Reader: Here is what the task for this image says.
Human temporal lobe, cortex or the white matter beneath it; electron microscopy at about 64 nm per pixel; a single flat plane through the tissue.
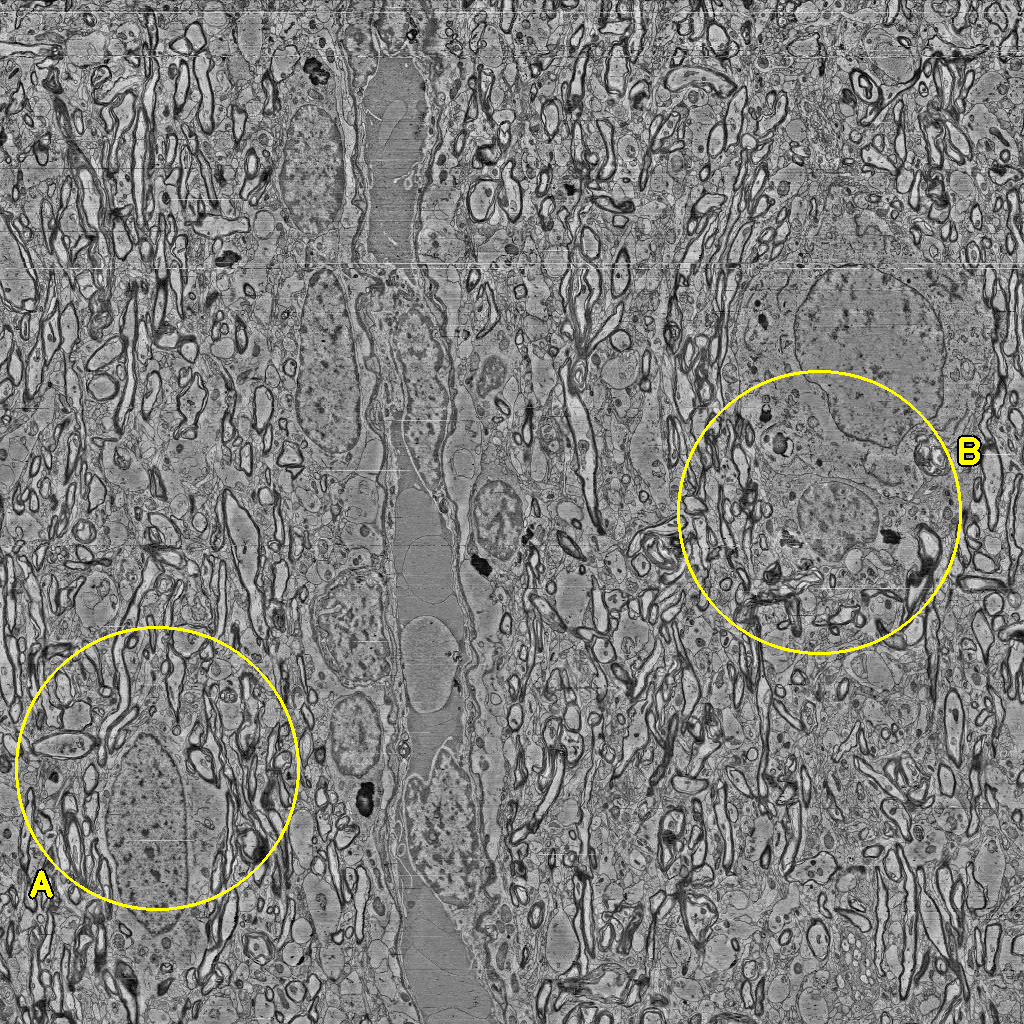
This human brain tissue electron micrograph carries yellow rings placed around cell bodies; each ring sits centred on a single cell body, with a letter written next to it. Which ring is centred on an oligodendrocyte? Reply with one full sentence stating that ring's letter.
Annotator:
Letter B marks the ring whose centre holds the cell asked for.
